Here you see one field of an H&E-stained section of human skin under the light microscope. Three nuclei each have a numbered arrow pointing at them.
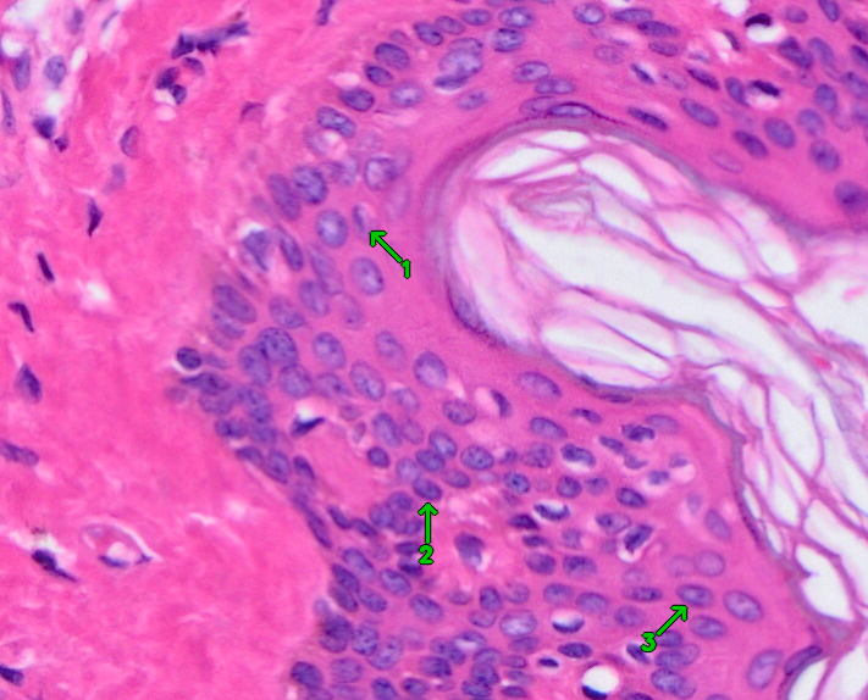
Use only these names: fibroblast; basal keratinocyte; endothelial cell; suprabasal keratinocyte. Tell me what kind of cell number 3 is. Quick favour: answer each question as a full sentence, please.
The cell referred to as 3 is a suprabasal keratinocyte.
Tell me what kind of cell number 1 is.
The cell numbered 1 has been identified as a suprabasal keratinocyte.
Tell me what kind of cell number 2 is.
The correct label for cell 2 is a basal keratinocyte.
